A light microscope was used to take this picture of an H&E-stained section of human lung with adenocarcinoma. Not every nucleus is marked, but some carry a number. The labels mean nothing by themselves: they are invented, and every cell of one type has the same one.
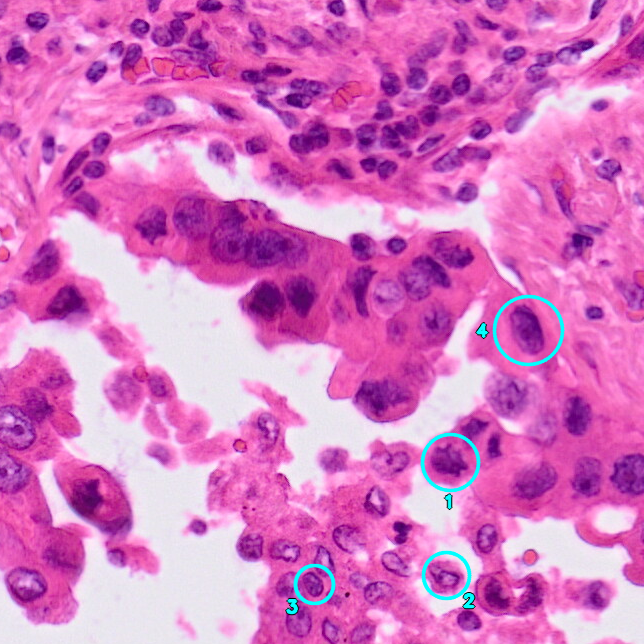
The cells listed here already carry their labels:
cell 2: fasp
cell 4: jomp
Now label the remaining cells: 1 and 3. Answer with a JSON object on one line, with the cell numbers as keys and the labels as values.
{"1": "jomp", "3": "fasp"}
